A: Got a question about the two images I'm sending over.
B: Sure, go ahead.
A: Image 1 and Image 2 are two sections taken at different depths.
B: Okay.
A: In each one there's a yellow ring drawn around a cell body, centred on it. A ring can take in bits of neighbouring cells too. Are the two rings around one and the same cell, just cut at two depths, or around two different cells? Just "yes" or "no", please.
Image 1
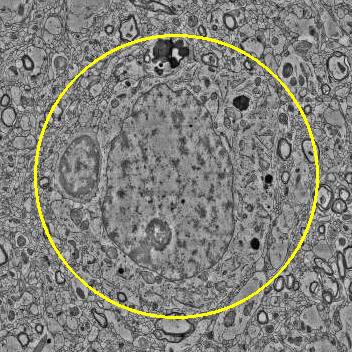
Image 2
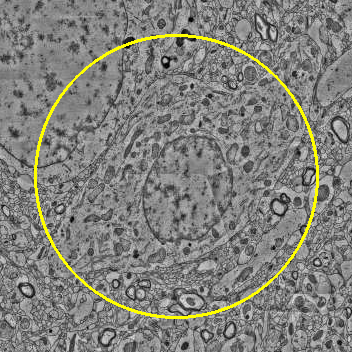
no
